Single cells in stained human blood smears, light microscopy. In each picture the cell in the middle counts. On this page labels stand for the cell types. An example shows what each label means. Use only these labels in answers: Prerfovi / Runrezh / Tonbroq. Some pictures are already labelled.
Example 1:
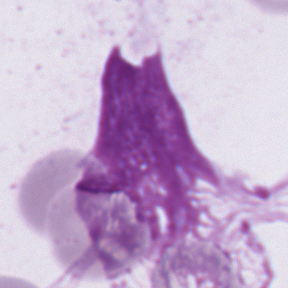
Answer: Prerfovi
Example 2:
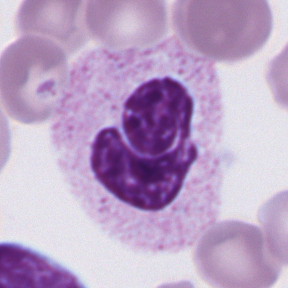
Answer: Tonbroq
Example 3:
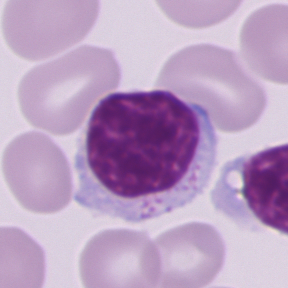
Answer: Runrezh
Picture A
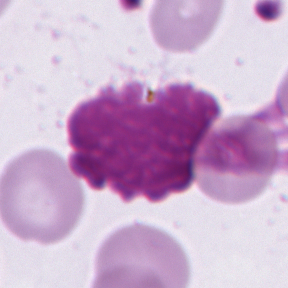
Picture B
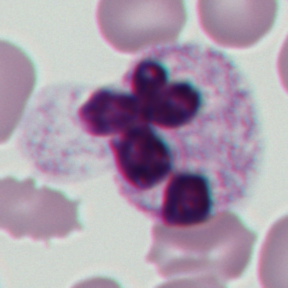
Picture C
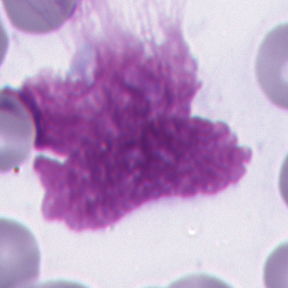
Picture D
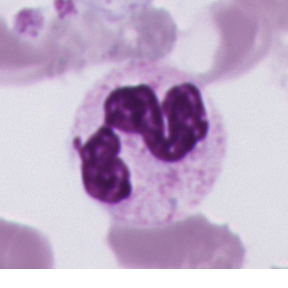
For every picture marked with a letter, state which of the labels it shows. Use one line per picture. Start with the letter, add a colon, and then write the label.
A: Prerfovi
B: Tonbroq
C: Prerfovi
D: Tonbroq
